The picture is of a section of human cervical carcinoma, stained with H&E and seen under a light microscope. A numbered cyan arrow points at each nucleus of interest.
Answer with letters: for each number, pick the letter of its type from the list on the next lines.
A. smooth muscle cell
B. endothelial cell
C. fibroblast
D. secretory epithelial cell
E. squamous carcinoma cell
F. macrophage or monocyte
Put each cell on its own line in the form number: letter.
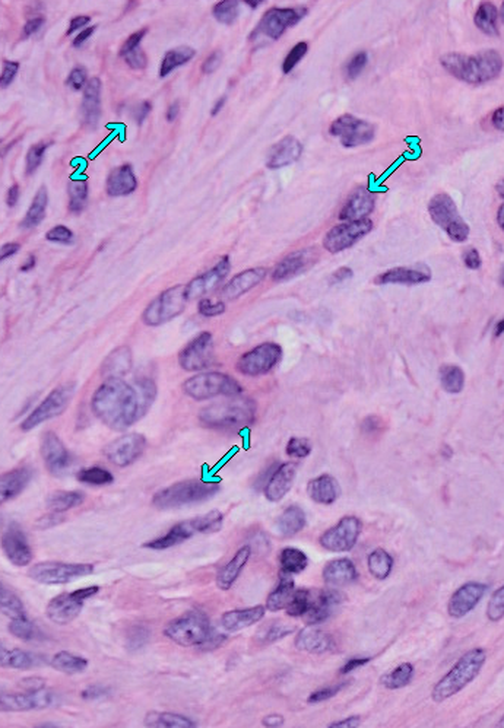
1: C
2: A
3: B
